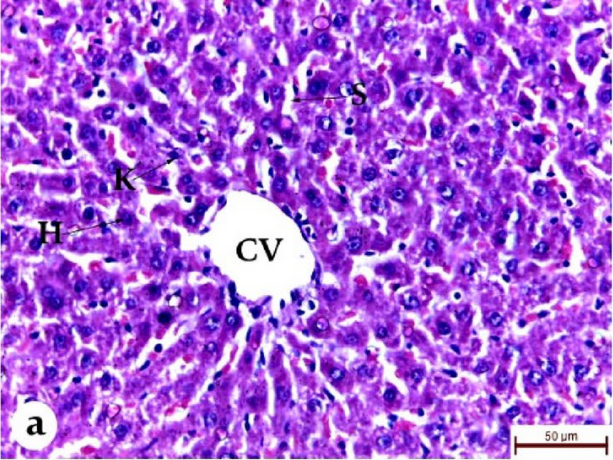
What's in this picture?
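This is liver tissue with cords of hepatocytes radiating from a central vein, with sinusoidal spaces and Kupffer cells between the cords. The central vein is an open, empty lumen near the middle, lined by flattened cells with dark nuclei. The hepatocytes are large polygonal cells with pink-purple cytoplasm and round, centrally placed nuclei with visible nucleoli. Narrow pale sinusoidal spaces run between the cords, converging toward the vein. Small cells with dark, elongated nuclei lie along the sinusoids, and scattered red blood cells are seen within them.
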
